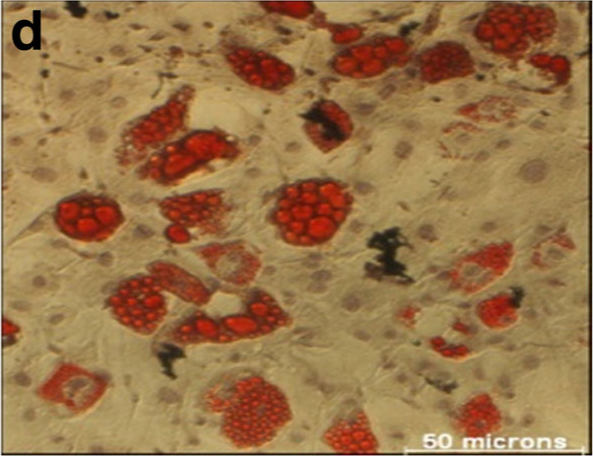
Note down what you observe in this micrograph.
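A culture of adipocytes lying among flat, pale cells. A few small irregular black deposits lie among the cells. The red-filled cells appear in groups and singly across the field.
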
